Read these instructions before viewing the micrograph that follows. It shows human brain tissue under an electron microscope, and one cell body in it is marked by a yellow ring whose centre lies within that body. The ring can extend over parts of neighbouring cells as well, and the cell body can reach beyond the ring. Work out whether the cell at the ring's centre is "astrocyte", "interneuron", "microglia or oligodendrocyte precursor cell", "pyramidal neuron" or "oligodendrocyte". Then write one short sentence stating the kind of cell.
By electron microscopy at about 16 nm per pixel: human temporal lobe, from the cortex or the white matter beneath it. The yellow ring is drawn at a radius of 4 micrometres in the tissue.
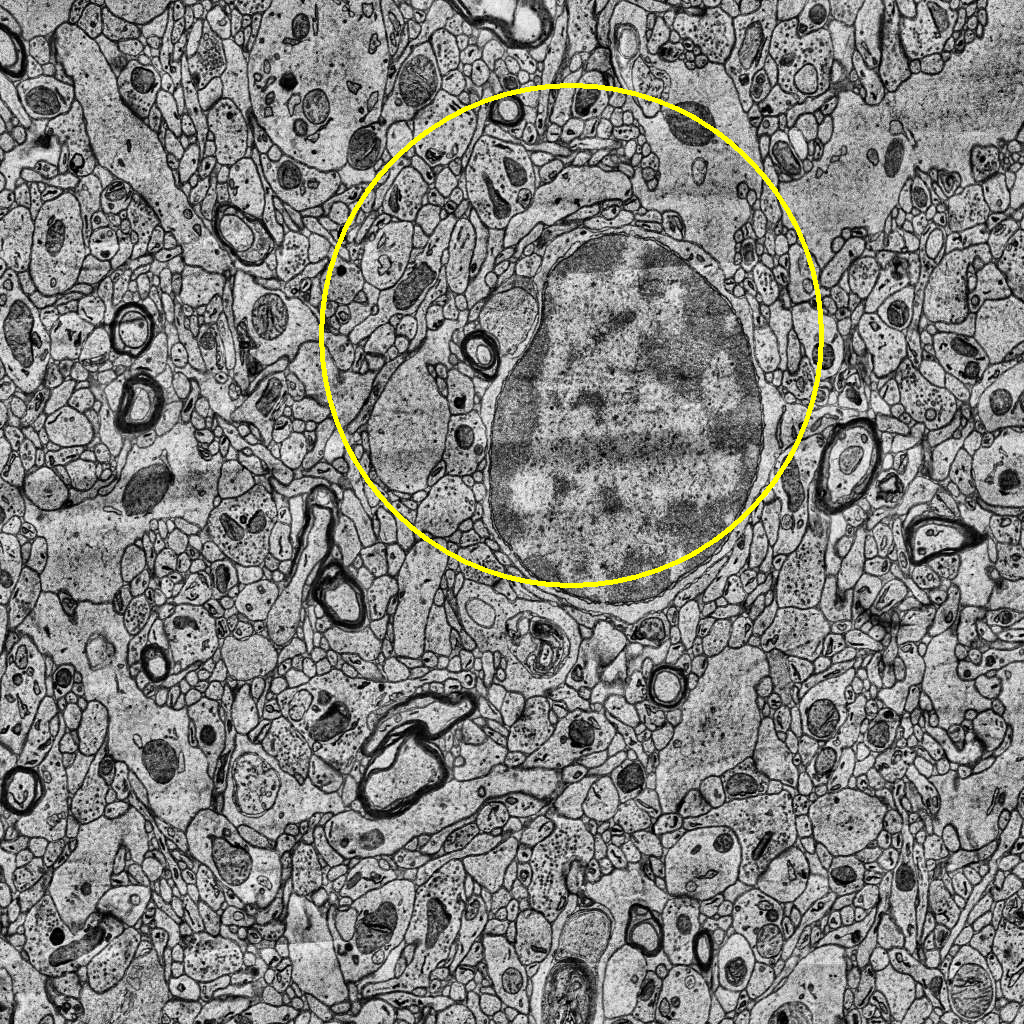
The cell at the ring's centre is a microglial cell or oligodendrocyte precursor cell.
